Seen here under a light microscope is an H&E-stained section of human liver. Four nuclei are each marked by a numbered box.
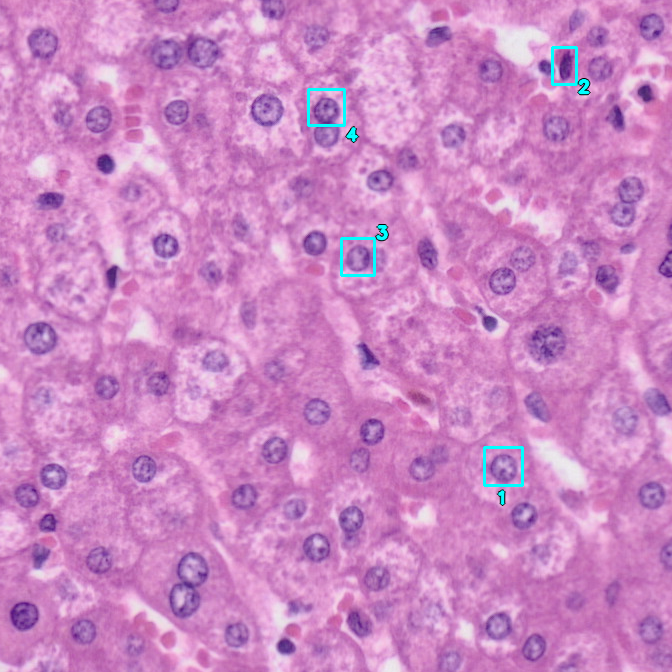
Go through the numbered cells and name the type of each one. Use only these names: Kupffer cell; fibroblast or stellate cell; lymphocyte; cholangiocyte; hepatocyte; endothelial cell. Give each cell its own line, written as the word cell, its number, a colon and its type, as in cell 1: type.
cell 1: hepatocyte
cell 2: fibroblast or stellate cell
cell 3: hepatocyte
cell 4: hepatocyte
